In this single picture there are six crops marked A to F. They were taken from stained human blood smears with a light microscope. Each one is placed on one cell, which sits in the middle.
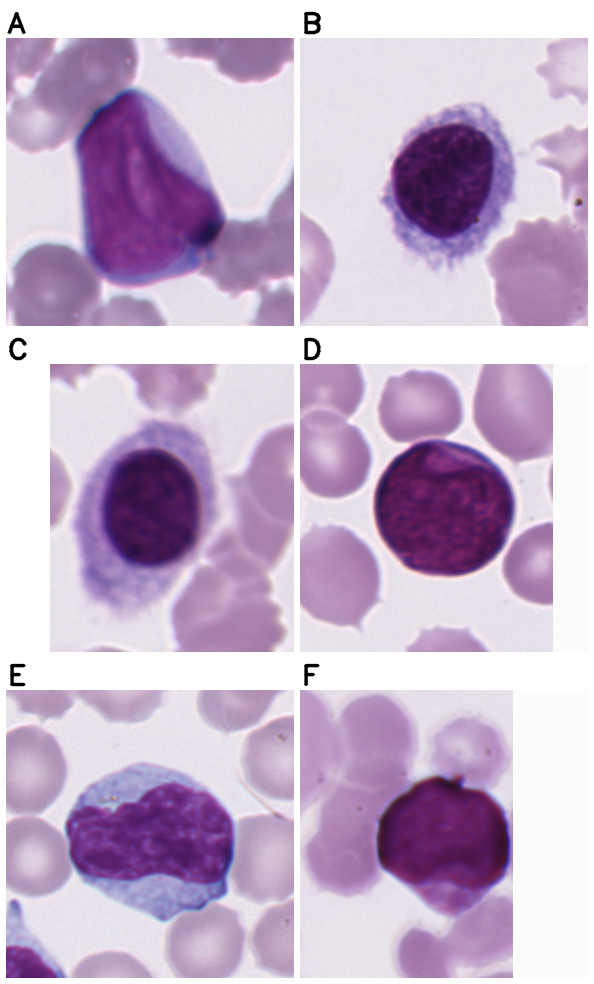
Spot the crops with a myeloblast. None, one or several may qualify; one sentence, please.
Looking at crops A, D and F, the middle cells are myeloblasts.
